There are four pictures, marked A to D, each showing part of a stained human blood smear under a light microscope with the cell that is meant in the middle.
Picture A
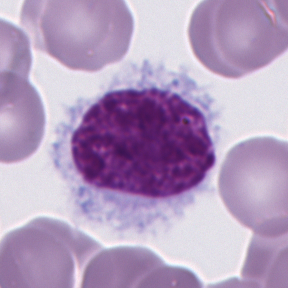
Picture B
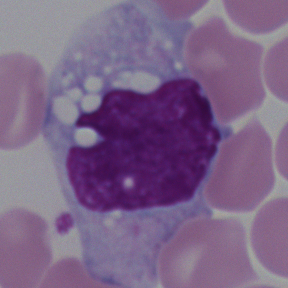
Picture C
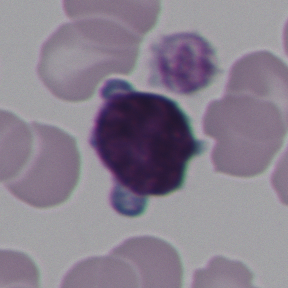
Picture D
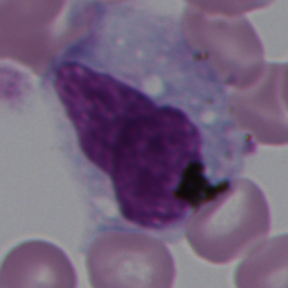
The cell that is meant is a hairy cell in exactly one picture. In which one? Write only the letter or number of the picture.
A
